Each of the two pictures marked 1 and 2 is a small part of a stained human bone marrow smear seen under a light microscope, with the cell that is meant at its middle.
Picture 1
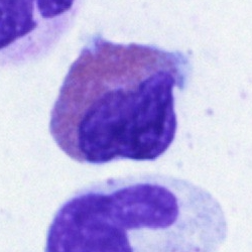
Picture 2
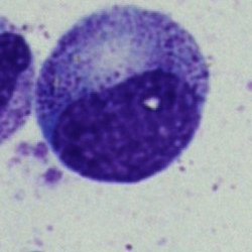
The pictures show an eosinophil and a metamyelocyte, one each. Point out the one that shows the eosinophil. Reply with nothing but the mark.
1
